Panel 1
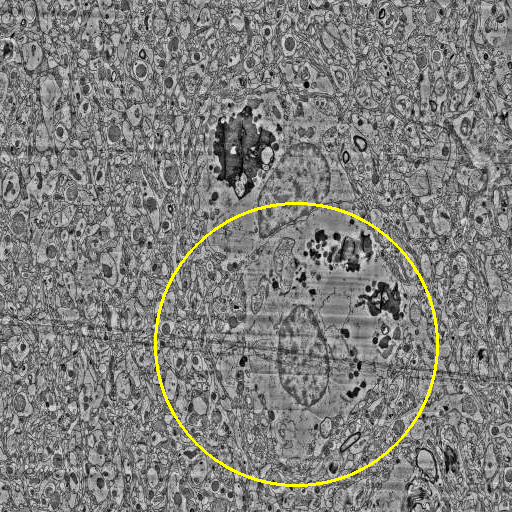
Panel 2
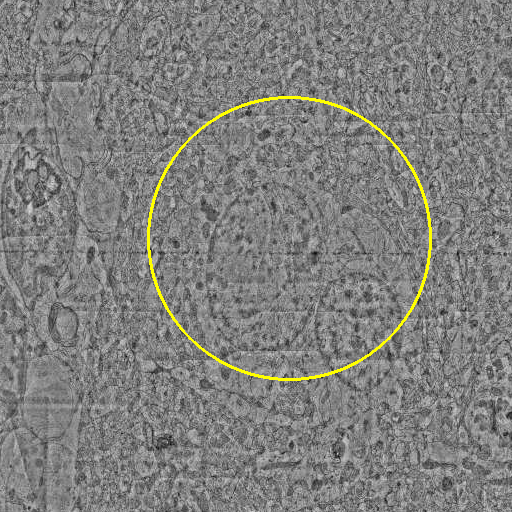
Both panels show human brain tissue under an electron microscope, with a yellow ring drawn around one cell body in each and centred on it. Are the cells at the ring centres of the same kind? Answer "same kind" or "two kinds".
same kind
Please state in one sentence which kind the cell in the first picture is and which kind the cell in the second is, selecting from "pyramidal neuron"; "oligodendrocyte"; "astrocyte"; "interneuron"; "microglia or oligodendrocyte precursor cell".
Each one of the two ringed cells is an astrocyte.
